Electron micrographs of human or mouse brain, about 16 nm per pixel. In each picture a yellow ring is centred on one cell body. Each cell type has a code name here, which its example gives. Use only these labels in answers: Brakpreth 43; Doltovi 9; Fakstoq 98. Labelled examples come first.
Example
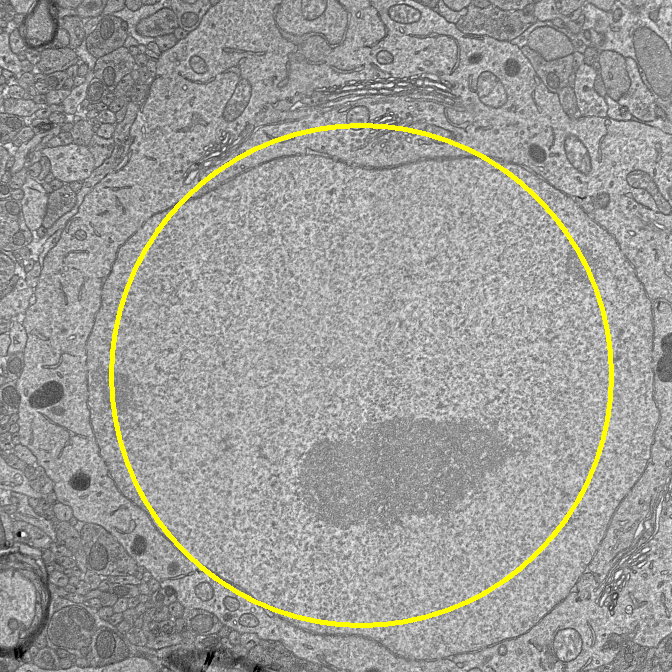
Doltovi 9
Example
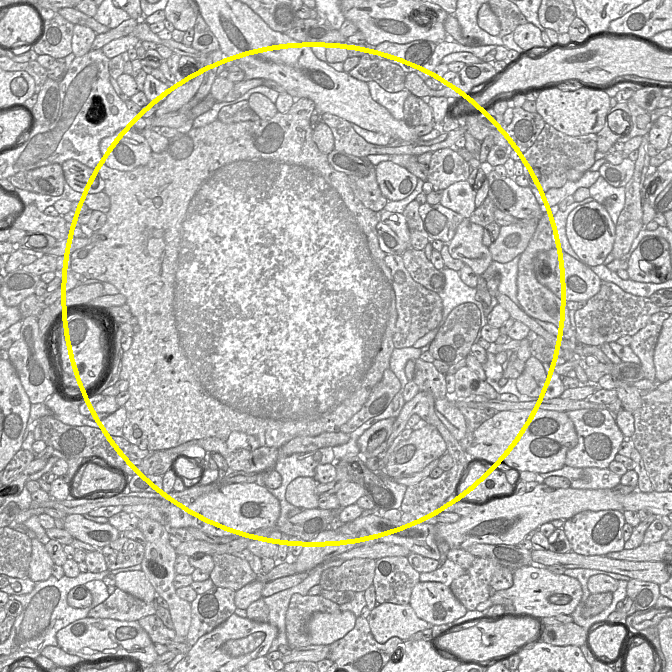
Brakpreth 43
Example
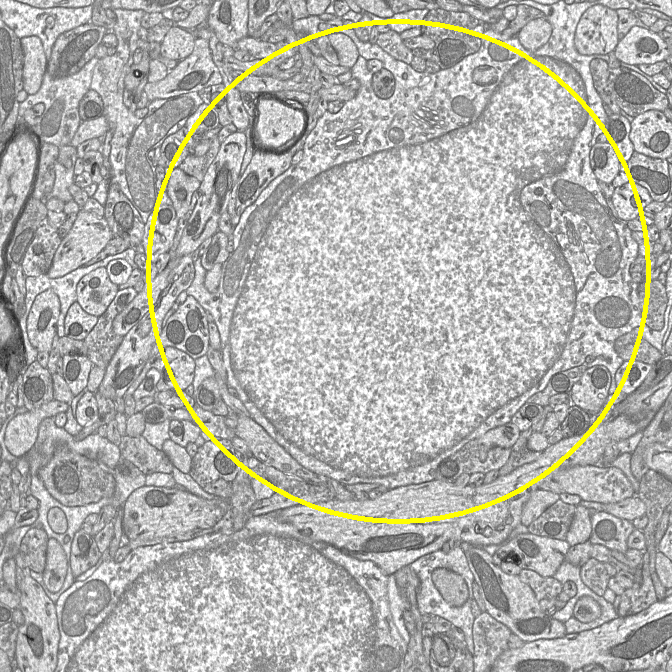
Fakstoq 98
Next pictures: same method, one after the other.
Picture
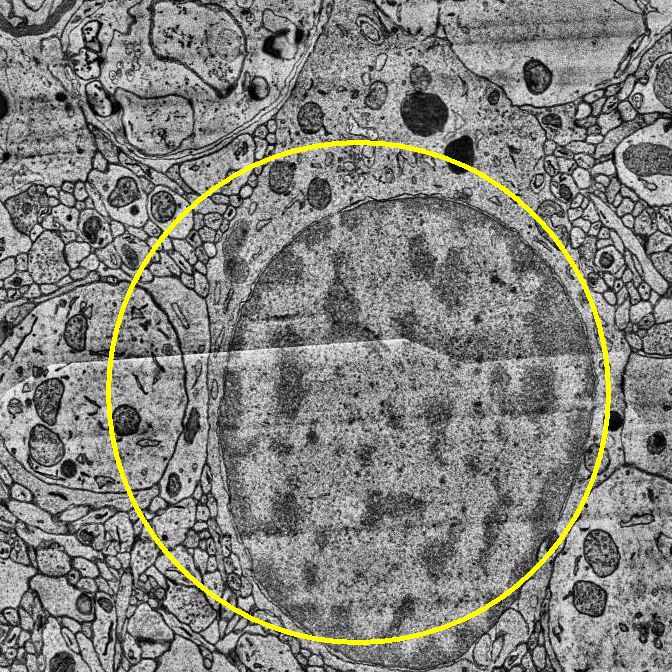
Brakpreth 43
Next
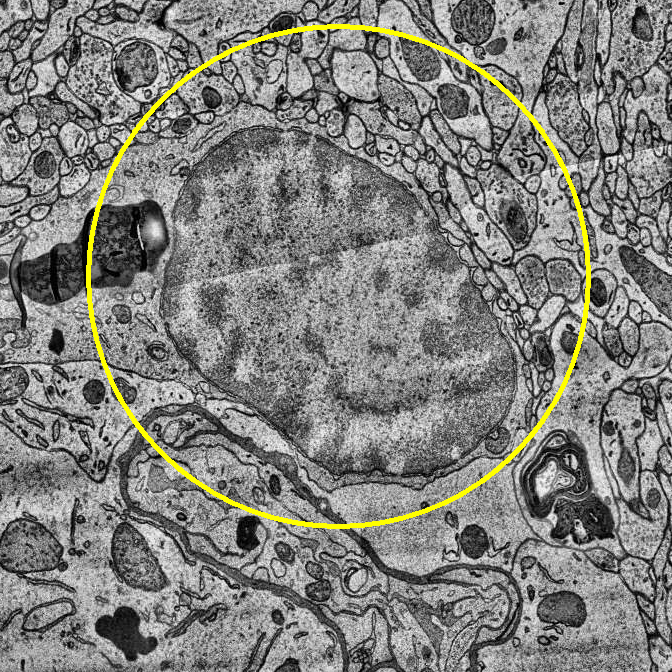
Brakpreth 43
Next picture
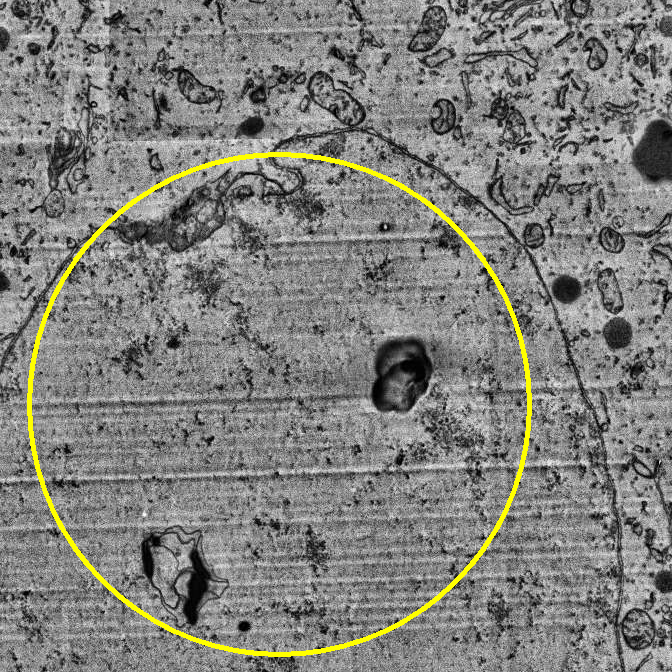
Doltovi 9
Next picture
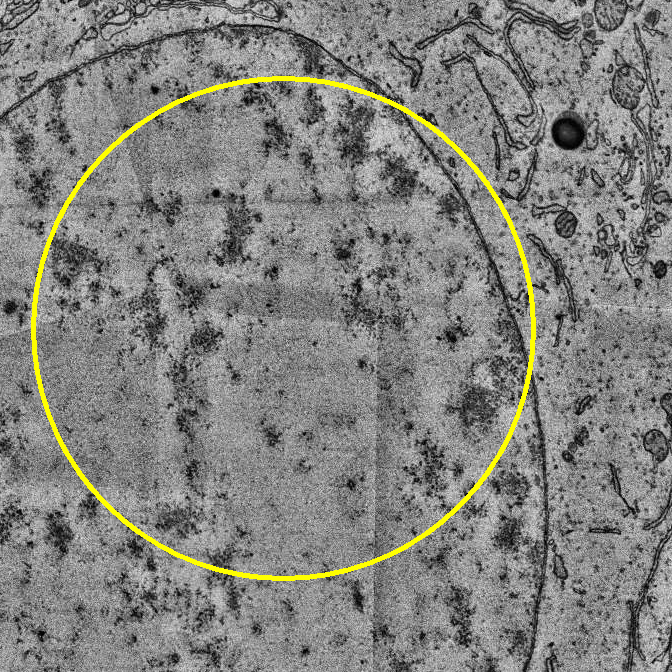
Doltovi 9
